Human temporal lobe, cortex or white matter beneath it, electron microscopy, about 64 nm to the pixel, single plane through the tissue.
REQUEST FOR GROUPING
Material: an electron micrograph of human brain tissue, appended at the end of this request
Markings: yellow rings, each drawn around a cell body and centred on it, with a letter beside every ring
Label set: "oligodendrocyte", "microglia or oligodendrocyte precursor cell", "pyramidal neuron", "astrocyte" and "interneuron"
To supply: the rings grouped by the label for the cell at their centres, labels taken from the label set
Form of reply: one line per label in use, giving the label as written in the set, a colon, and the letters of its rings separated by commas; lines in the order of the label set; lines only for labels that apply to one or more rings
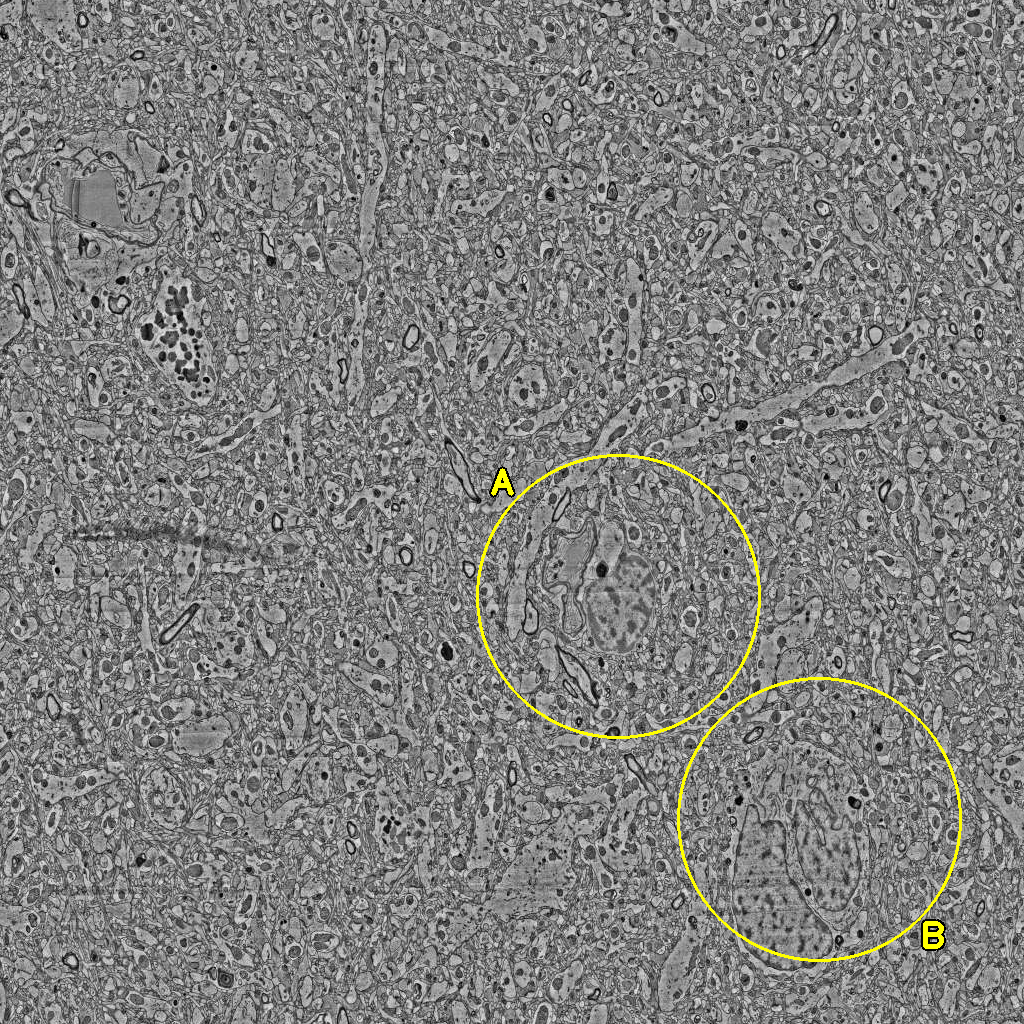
oligodendrocyte: A
interneuron: B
